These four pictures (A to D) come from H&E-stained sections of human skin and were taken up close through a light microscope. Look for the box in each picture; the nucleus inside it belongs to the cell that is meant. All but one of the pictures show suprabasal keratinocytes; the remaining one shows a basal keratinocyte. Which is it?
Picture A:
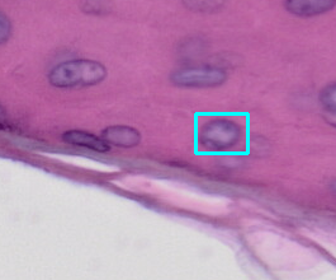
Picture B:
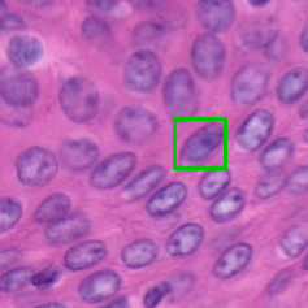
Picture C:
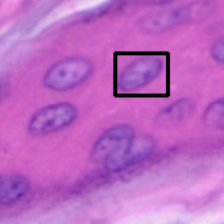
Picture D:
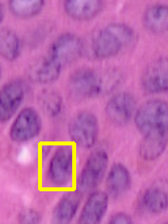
D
